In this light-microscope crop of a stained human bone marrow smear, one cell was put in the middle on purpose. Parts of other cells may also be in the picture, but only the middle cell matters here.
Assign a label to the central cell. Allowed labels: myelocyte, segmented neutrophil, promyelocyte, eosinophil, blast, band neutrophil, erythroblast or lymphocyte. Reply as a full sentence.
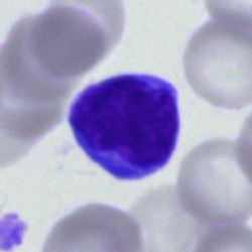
Classified as a blast is the cell in the middle of this crop.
